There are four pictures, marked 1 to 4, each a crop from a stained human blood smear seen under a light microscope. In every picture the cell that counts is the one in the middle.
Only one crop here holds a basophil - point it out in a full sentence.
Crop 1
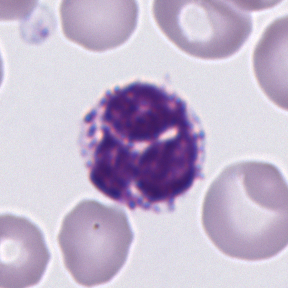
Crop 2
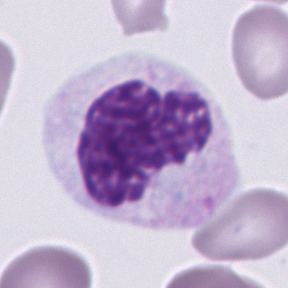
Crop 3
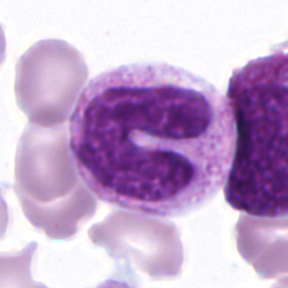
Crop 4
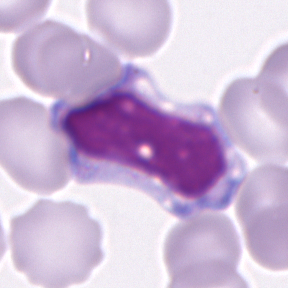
Of the labelled crops, the one that shows a basophil is crop 1.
